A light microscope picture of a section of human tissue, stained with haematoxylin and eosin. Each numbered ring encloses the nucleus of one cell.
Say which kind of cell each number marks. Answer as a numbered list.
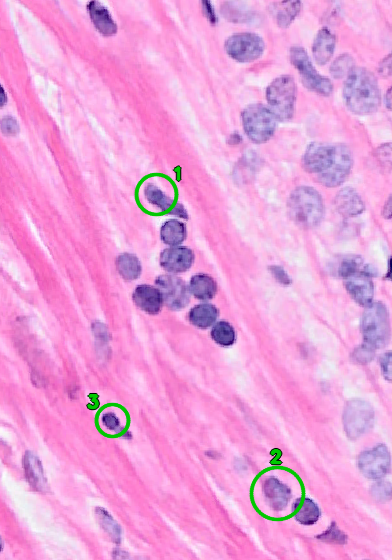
1. lymphocyte
2. carcinoma cell
3. lymphocyte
